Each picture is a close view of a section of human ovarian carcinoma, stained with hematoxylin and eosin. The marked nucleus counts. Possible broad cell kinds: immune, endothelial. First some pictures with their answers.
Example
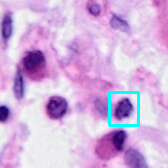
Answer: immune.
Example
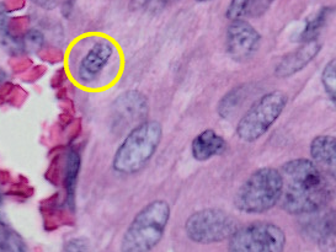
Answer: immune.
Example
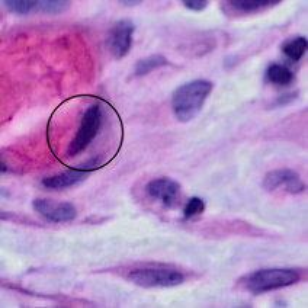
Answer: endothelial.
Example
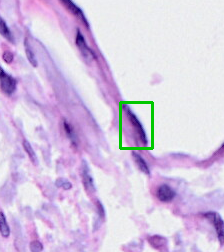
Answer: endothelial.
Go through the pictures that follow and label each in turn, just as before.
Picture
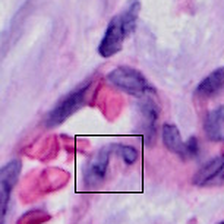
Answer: endothelial.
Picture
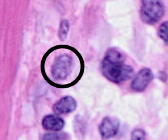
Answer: immune.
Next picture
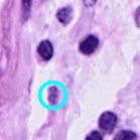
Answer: immune.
